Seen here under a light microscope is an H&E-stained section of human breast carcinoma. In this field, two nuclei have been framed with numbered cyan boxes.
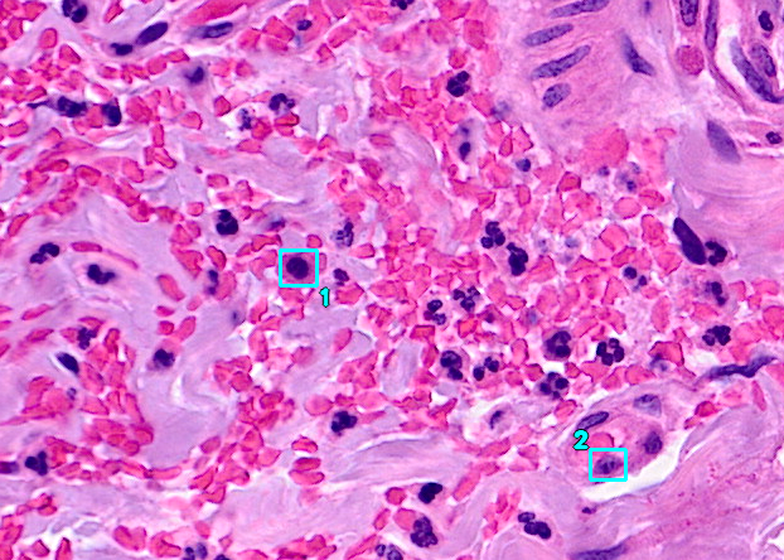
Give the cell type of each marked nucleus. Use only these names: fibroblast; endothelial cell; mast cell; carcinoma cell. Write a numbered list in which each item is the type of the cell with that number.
1. mast cell
2. endothelial cell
